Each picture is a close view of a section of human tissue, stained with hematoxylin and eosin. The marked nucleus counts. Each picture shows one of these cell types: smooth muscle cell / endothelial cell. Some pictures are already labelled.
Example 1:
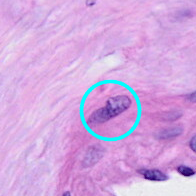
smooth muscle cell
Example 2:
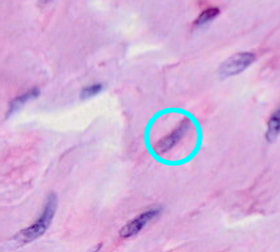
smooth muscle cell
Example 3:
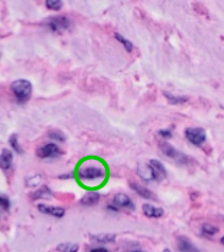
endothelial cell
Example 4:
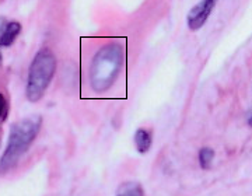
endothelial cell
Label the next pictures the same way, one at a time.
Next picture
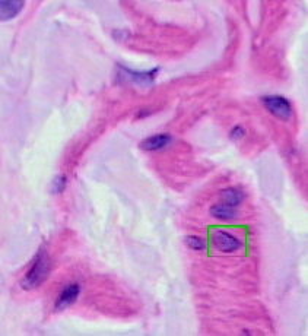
smooth muscle cell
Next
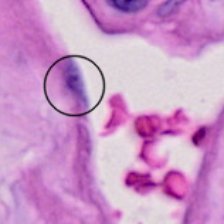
endothelial cell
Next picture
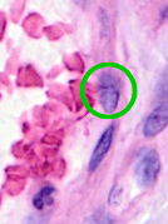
endothelial cell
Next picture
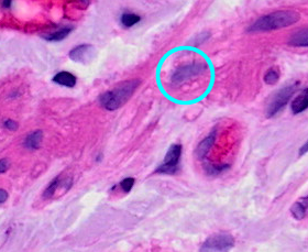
smooth muscle cell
